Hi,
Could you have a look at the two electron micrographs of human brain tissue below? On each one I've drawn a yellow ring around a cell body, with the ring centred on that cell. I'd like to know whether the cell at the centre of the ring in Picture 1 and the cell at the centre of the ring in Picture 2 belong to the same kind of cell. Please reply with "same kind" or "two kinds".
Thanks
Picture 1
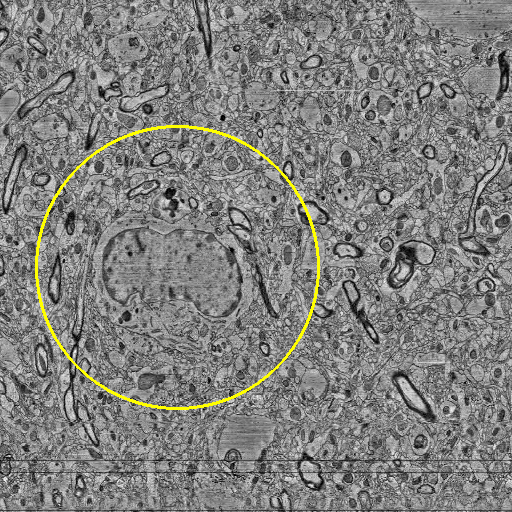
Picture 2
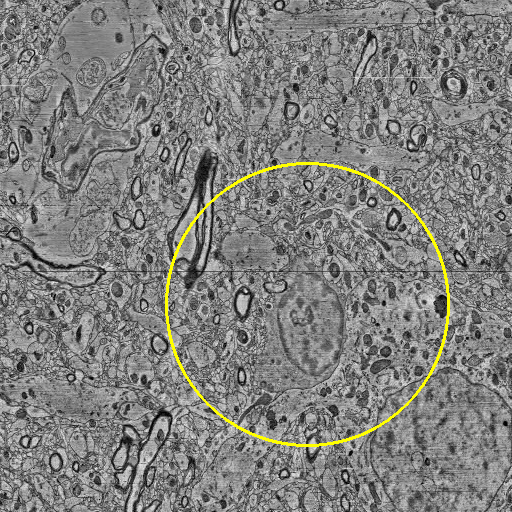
two kinds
